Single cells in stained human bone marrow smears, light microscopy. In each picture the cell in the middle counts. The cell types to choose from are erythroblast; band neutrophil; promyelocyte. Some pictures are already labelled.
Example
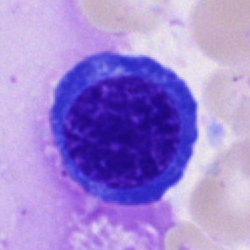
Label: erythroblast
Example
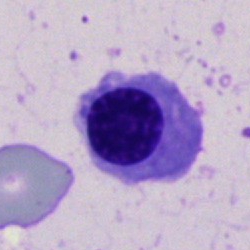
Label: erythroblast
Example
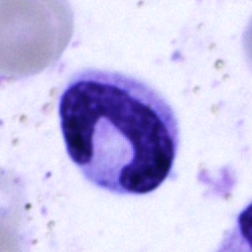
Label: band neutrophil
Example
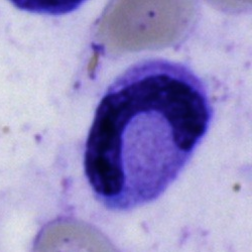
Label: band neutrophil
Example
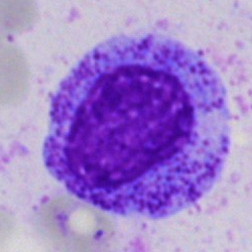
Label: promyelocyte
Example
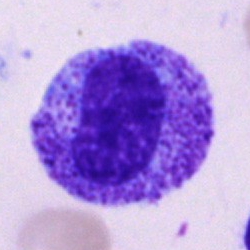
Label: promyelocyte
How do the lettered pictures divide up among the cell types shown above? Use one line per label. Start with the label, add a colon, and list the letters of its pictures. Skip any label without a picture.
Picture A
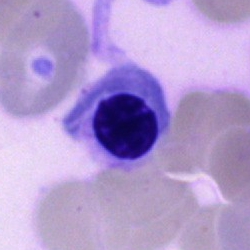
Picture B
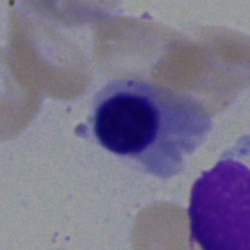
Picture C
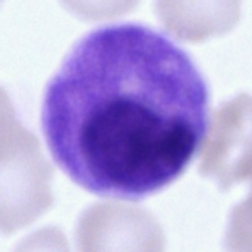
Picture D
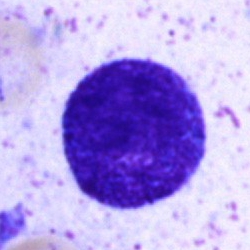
erythroblast: A, B
promyelocyte: C, D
